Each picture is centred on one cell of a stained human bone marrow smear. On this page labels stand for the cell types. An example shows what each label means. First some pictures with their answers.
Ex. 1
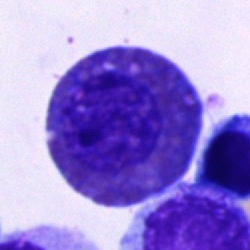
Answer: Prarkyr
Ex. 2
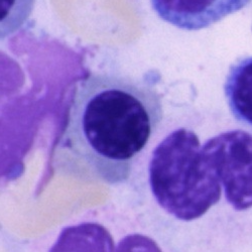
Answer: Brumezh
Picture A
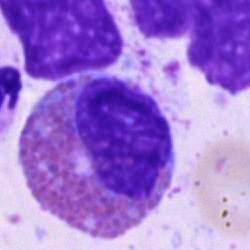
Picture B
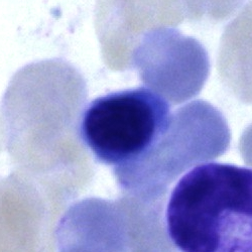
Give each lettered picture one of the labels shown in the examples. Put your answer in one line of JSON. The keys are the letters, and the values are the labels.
{"A": "Prarkyr", "B": "Brumezh"}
